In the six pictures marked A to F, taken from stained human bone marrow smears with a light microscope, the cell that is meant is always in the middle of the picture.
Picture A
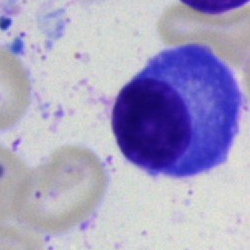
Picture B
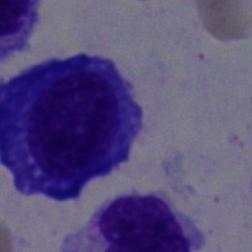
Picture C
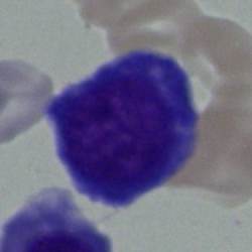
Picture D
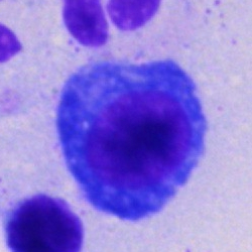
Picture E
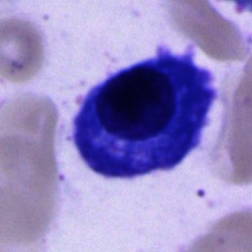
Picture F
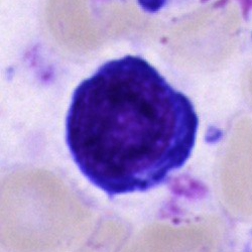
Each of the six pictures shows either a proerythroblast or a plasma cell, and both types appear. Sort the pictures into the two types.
A: plasma cell
B: plasma cell
C: proerythroblast
D: plasma cell
E: plasma cell
F: proerythroblast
